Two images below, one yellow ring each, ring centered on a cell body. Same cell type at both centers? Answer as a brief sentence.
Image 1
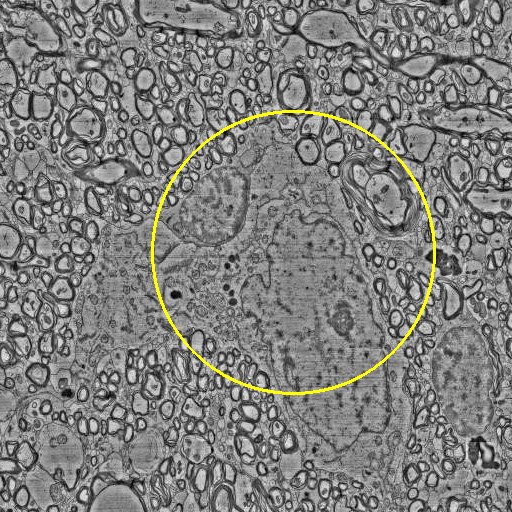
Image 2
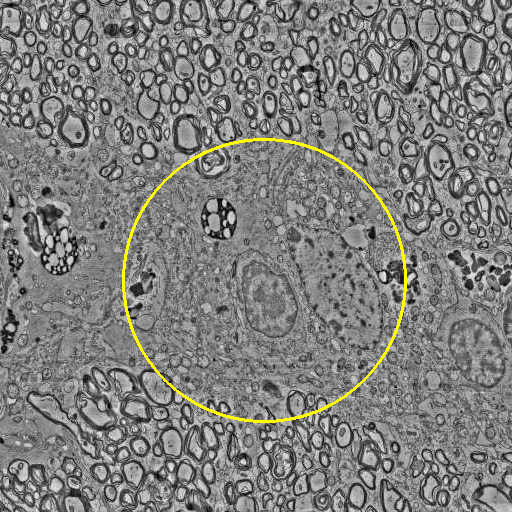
No, the cells are of two separate types.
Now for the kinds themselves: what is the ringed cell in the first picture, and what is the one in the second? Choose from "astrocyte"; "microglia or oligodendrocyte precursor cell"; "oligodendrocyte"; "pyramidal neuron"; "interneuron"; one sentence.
Here the first cell is an interneuron and the second cell is an oligodendrocyte.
